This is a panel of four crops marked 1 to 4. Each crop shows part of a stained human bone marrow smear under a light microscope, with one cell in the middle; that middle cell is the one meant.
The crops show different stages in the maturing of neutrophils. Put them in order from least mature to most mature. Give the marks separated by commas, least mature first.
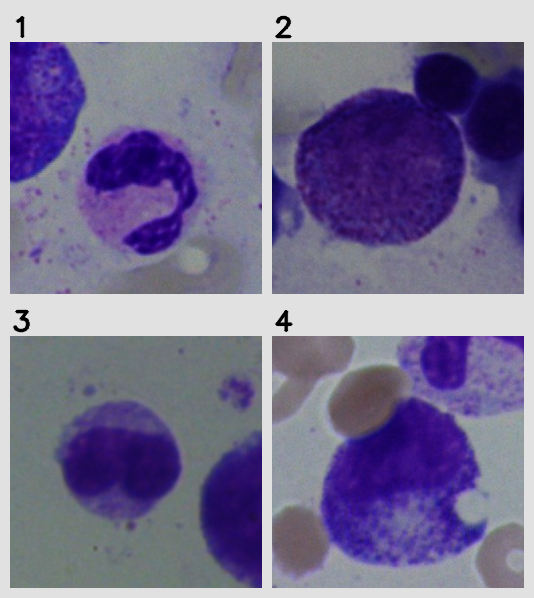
2, 4, 3, 1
